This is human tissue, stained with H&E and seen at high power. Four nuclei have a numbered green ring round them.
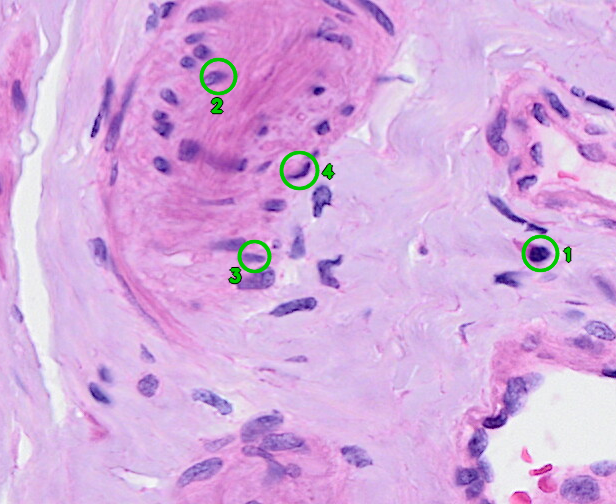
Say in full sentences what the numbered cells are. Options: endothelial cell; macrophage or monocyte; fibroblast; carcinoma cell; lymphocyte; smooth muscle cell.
Cell 1 is a lymphocyte. Cells 2, 3 and 4 are smooth muscle cells.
